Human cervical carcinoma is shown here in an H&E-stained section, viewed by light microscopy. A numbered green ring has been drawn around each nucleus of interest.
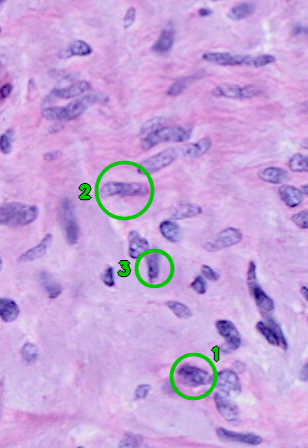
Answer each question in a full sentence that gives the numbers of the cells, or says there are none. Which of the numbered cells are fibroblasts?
Just the cell marked 3 is a fibroblast; none of the other marked cells is.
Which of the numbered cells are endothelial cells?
Only the cell with number 1 is an endothelial cell.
